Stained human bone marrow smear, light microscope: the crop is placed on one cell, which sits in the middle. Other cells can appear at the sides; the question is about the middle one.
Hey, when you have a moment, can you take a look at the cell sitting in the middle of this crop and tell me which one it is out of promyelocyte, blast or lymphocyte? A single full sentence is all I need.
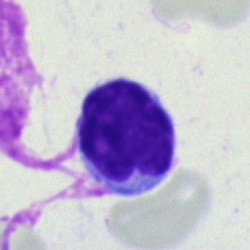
In the centre of this crop there is a lymphocyte.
